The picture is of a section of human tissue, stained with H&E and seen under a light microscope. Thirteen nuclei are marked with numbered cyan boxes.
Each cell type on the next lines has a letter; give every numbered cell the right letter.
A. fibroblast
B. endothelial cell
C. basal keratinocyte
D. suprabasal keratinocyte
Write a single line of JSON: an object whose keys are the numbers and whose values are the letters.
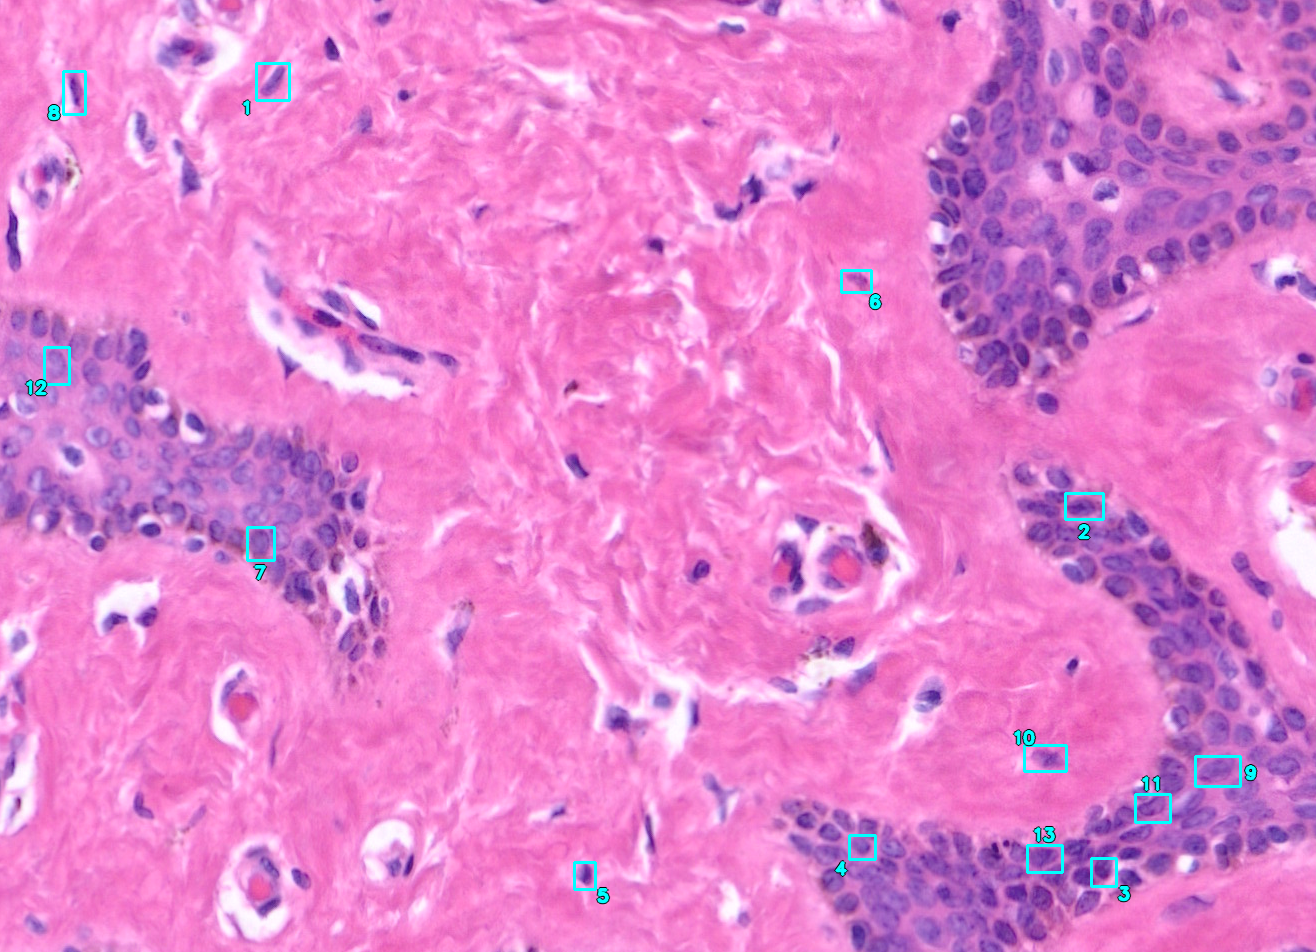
{"1": "A", "2": "C", "3": "C", "4": "C", "5": "A", "6": "A", "7": "C", "8": "A", "9": "D", "10": "A", "11": "C", "12": "D", "13": "C"}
